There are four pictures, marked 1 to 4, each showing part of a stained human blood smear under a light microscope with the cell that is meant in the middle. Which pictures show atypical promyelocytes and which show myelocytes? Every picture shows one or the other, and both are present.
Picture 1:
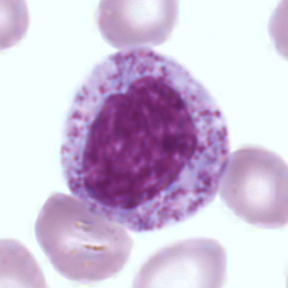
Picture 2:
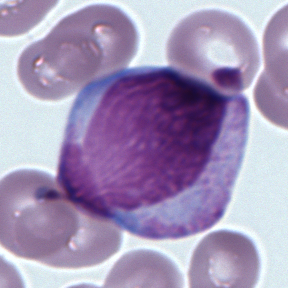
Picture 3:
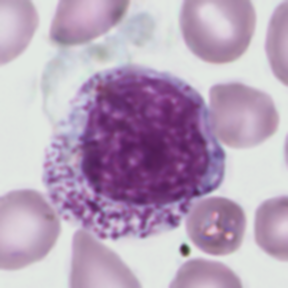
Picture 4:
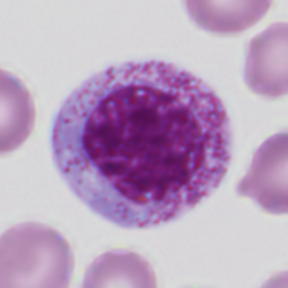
1: myelocyte
2: atypical promyelocyte
3: myelocyte
4: myelocyte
